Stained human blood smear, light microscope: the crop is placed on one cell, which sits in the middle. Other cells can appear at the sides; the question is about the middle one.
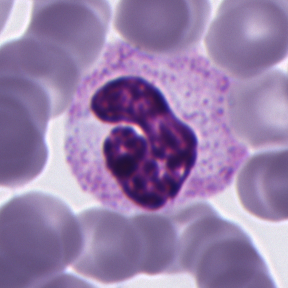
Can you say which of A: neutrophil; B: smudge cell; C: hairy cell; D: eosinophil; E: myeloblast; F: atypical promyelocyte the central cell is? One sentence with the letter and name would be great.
The cell at the heart of the crop is a neutrophil, so choose option A.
